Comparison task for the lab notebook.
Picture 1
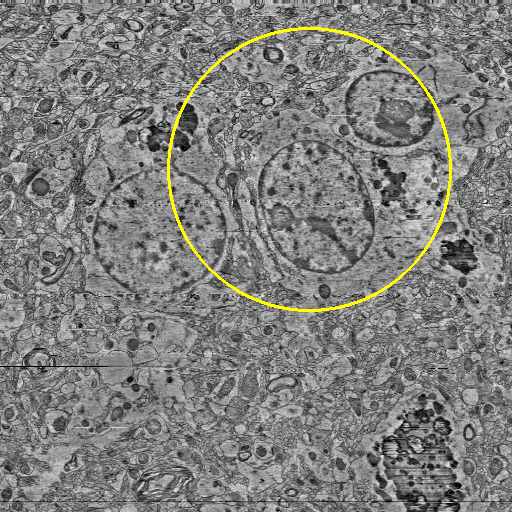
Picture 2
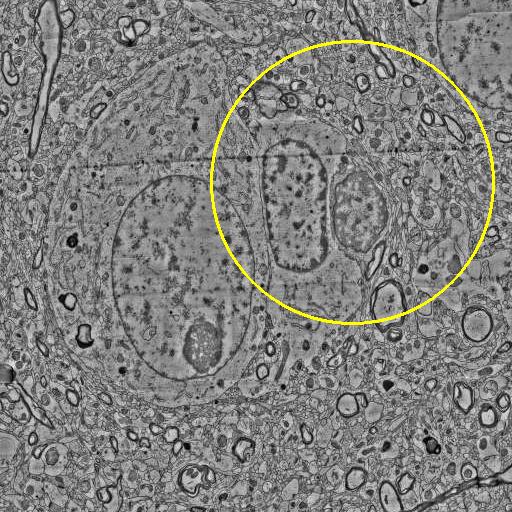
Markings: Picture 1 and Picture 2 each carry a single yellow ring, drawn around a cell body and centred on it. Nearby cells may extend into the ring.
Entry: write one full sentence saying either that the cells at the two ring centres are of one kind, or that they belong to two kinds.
The cells sitting at the ring centres in Picture 1 and Picture 2 belong to two kinds.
